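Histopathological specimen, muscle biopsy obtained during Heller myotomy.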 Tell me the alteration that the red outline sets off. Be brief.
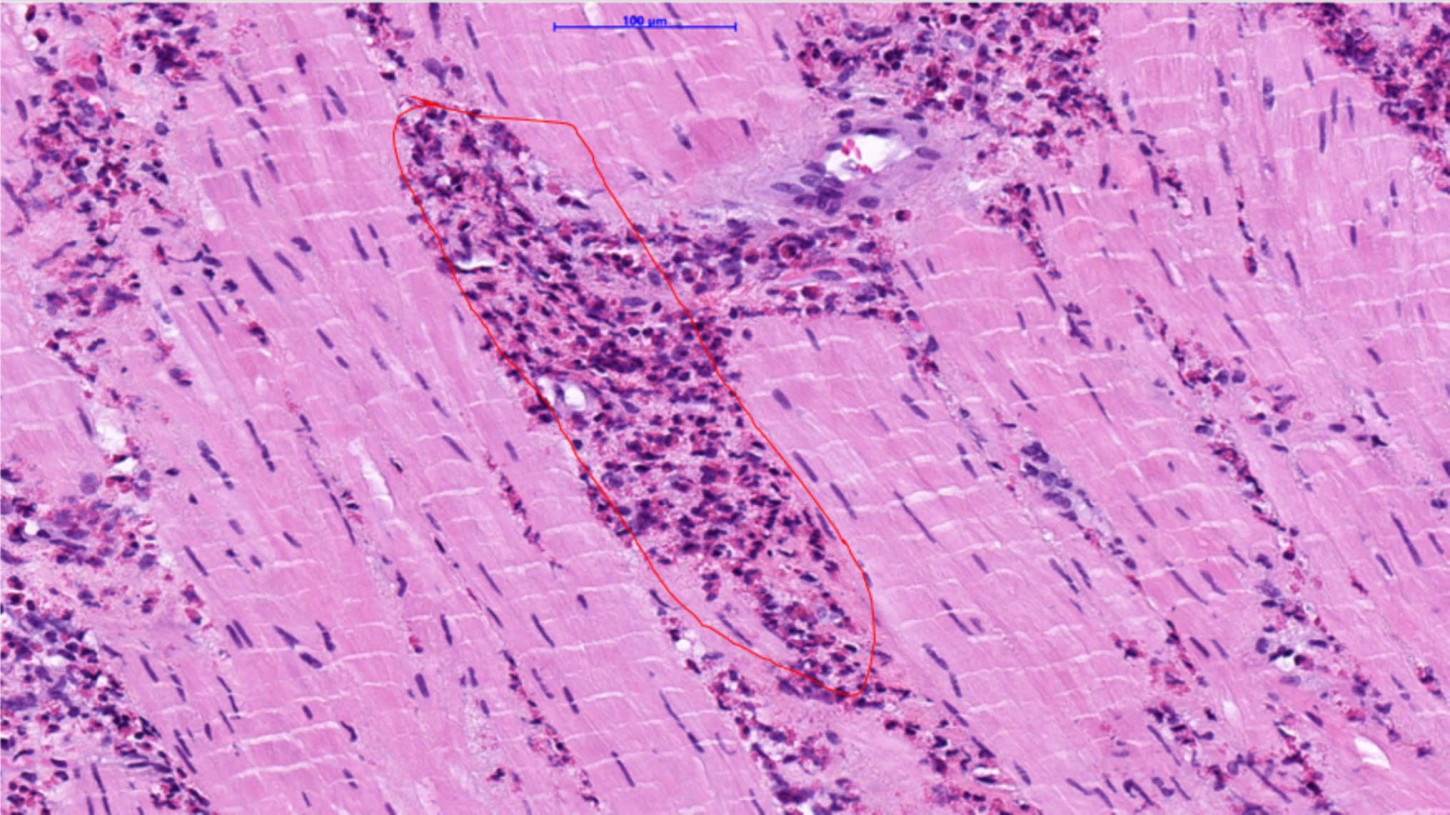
Eosinophilic infiltration.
